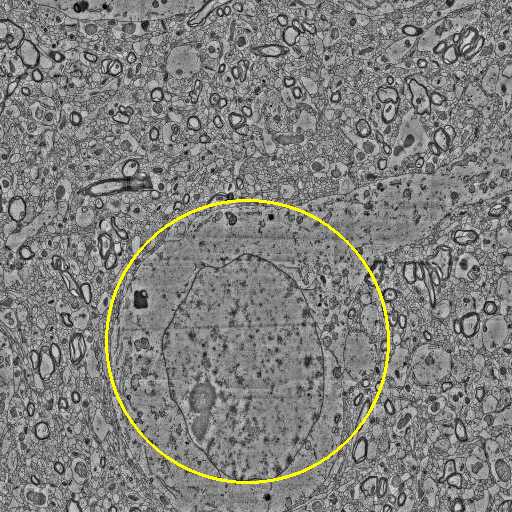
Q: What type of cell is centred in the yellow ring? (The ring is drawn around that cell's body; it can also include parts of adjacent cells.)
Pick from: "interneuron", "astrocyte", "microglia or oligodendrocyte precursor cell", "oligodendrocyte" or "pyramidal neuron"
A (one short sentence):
The yellow ring is centred on a pyramidal neuron.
